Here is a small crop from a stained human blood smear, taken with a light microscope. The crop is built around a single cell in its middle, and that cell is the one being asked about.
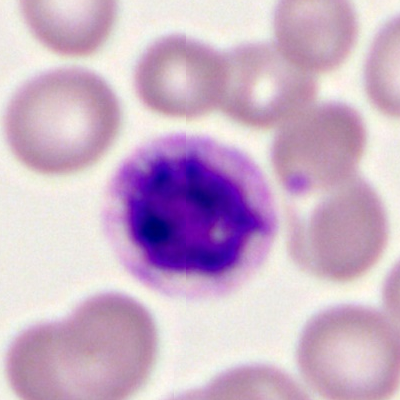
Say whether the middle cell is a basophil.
yes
